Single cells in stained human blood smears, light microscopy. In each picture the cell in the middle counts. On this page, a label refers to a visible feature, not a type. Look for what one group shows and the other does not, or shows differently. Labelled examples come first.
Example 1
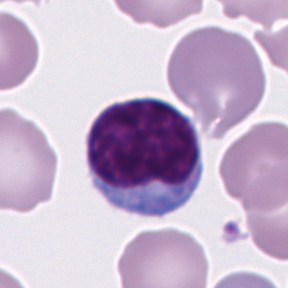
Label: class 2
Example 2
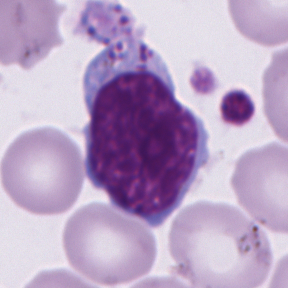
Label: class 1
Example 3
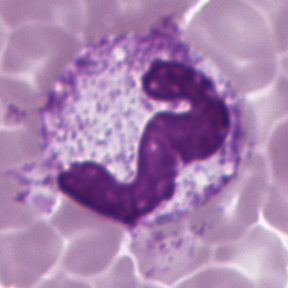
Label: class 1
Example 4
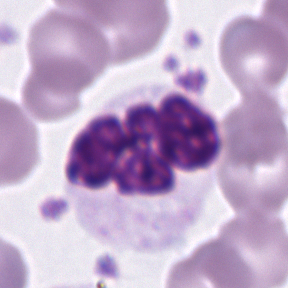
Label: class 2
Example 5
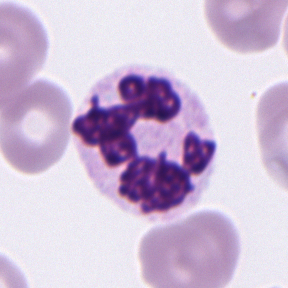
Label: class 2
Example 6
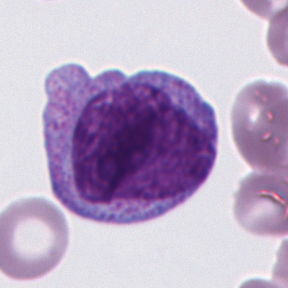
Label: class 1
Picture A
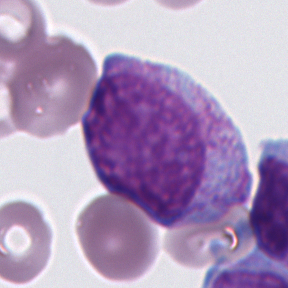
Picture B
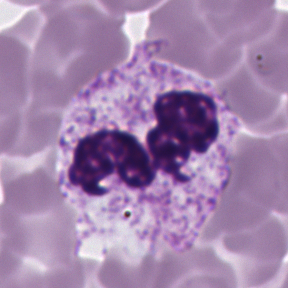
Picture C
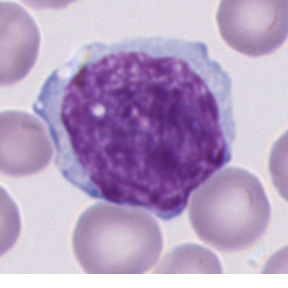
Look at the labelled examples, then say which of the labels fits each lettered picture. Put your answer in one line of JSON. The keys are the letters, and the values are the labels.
{"A": "class 2", "B": "class 1", "C": "class 1"}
